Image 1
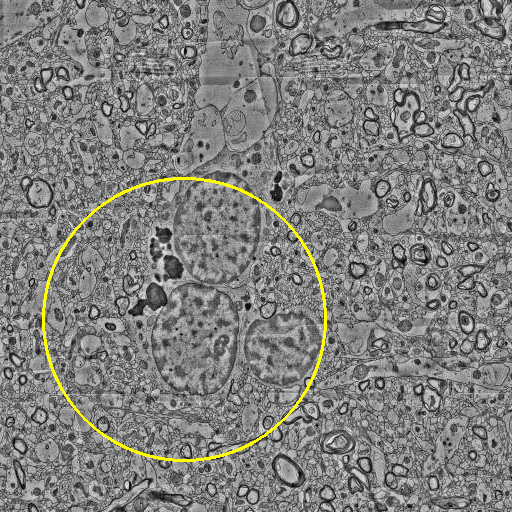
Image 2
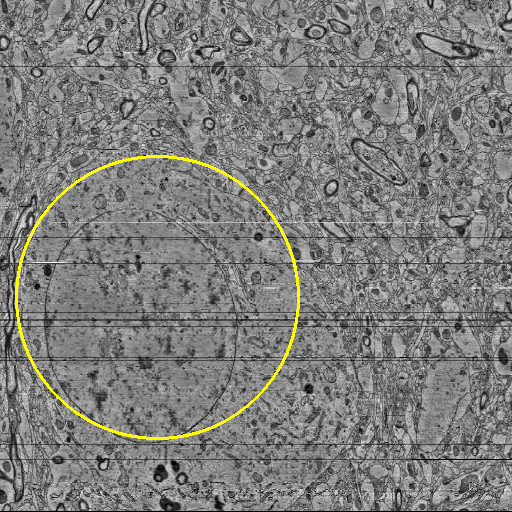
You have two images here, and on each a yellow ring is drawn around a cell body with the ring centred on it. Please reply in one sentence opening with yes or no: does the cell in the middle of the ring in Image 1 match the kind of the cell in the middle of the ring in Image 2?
No, the two images show cells of two kinds at the centres of their rings.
